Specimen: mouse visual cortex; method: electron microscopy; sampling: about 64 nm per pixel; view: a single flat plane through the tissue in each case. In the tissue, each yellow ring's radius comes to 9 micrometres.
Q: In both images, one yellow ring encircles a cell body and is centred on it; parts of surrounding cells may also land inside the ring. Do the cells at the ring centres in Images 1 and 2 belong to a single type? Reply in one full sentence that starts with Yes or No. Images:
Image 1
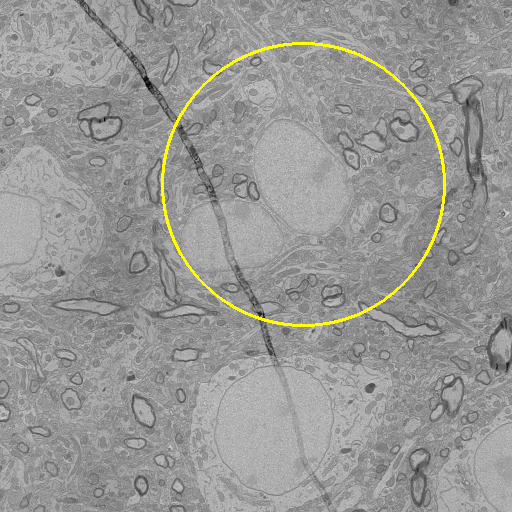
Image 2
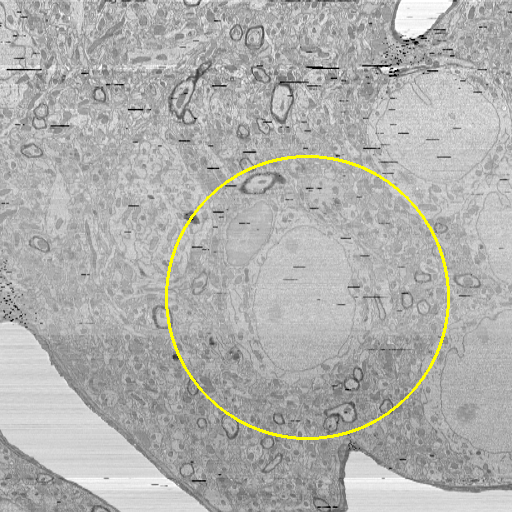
No, the cells at the ring centres in Images 1 and 2 are of two types.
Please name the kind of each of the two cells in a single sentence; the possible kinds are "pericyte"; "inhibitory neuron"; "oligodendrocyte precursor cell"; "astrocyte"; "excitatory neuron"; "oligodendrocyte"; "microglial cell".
In the first picture the ring is centred on an astrocyte, and in the second on an excitatory neuron.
